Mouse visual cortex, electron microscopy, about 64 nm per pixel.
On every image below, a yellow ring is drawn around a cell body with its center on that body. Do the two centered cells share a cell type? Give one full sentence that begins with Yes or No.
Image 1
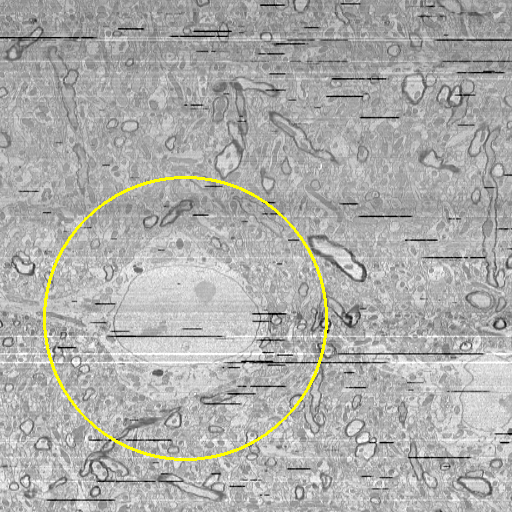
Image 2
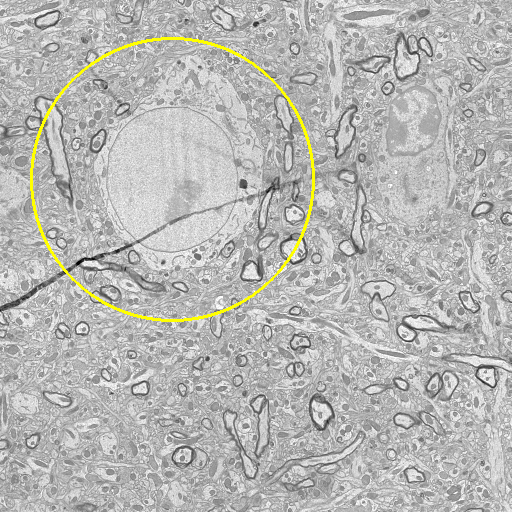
Yes, the centered cells in the two images are of a single cell type.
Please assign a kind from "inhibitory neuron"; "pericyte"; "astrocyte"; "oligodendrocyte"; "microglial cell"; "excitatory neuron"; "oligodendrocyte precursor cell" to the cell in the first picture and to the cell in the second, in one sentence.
The cell at the ring centre is an excitatory neuron in both pictures.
